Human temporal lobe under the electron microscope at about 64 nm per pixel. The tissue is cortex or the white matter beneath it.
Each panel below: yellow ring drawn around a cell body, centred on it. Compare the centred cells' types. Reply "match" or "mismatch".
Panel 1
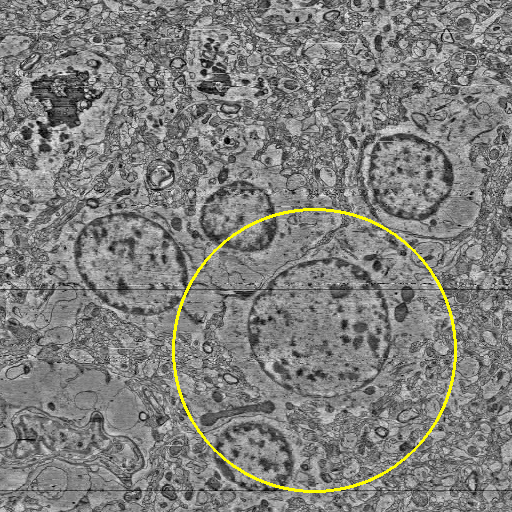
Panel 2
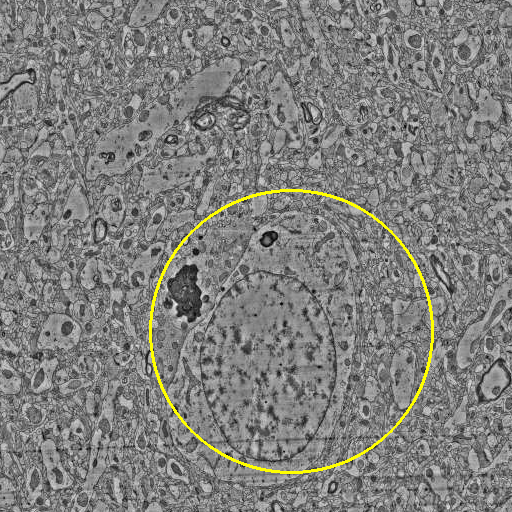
mismatch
